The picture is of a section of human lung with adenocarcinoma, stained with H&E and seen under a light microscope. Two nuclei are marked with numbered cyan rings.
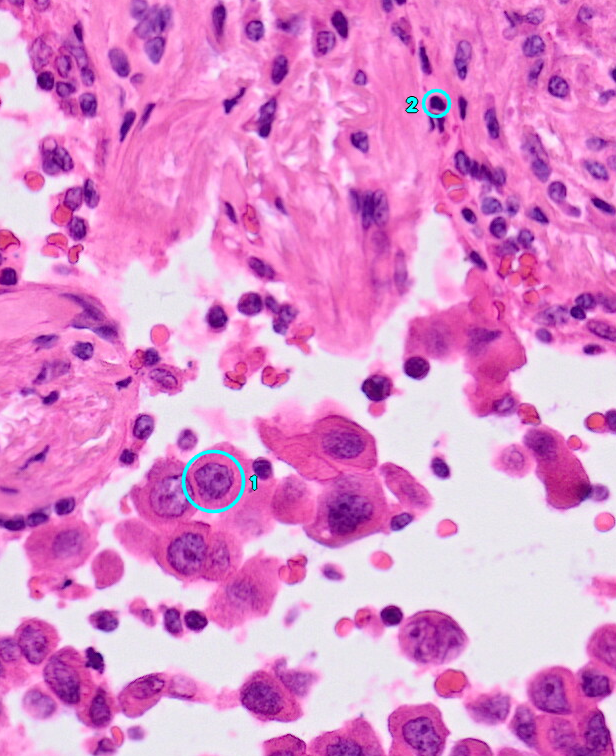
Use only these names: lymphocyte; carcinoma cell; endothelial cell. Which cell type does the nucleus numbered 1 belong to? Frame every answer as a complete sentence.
The cell pointed out as number 1 is a carcinoma cell.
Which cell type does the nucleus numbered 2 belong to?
Number 2 among the marked cells is a lymphocyte.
